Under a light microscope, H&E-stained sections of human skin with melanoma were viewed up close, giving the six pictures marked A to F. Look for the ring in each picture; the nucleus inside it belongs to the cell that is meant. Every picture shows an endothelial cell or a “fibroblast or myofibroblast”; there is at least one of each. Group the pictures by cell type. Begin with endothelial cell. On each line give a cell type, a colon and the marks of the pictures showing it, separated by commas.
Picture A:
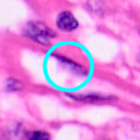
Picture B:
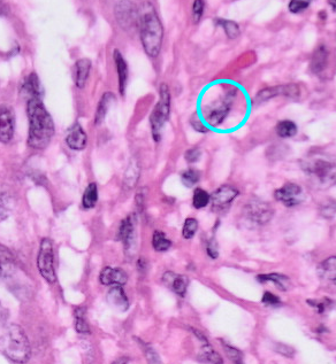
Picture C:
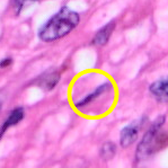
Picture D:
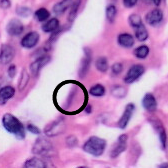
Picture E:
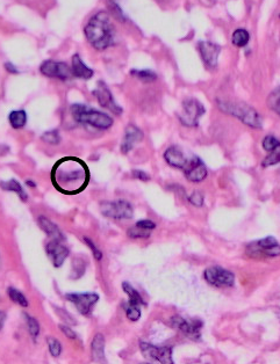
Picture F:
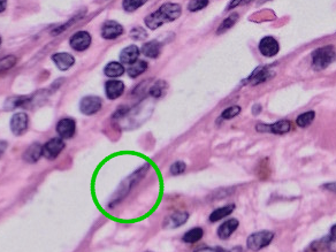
endothelial cell: A, B, D, F
fibroblast or myofibroblast: C, E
